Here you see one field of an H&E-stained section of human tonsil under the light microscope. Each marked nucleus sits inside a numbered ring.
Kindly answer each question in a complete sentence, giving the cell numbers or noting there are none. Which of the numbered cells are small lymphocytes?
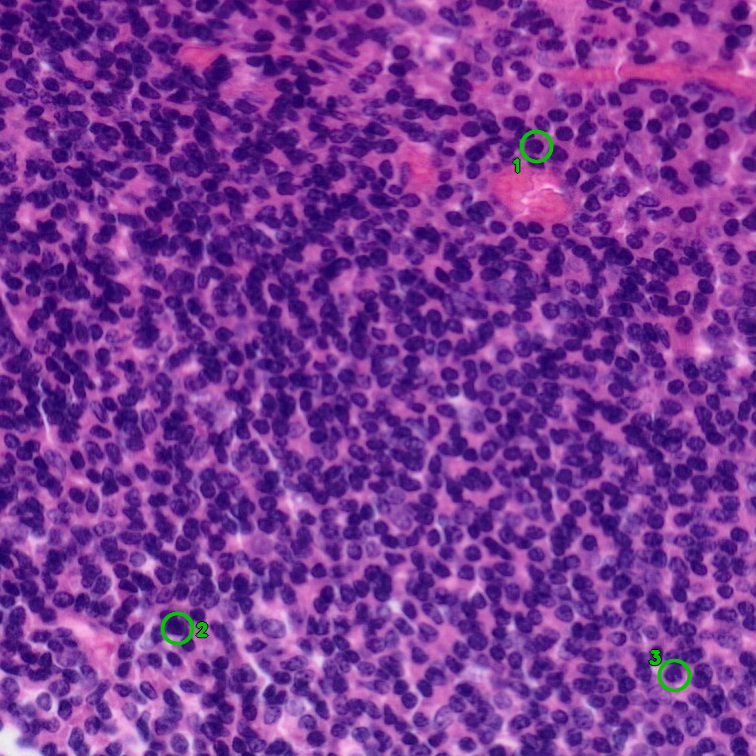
Cells numbered 2 and 3 belong to the group of small lymphocytes.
